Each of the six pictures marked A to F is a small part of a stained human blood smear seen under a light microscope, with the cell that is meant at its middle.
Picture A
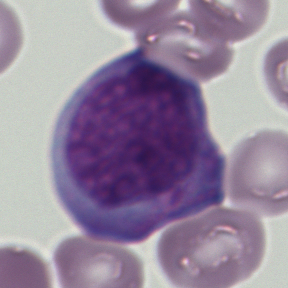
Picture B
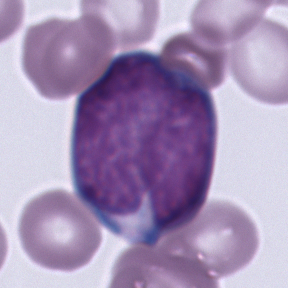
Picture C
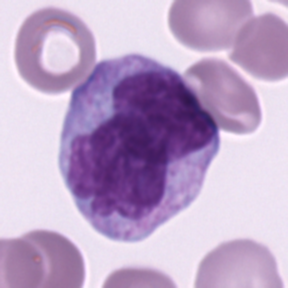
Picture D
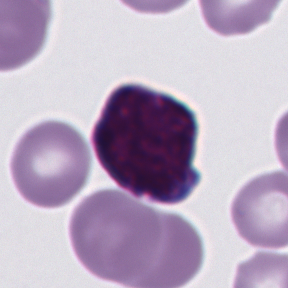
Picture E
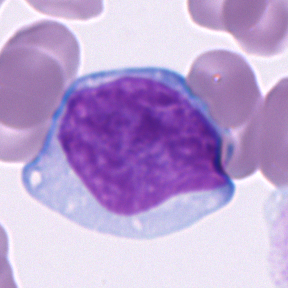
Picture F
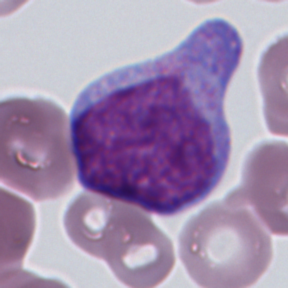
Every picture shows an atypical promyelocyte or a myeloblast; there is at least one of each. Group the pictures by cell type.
A: atypical promyelocyte
B: myeloblast
C: atypical promyelocyte
D: myeloblast
E: myeloblast
F: atypical promyelocyte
